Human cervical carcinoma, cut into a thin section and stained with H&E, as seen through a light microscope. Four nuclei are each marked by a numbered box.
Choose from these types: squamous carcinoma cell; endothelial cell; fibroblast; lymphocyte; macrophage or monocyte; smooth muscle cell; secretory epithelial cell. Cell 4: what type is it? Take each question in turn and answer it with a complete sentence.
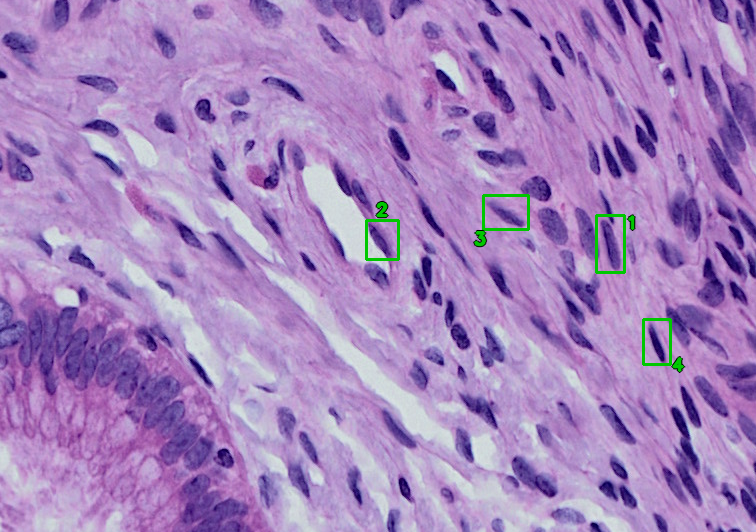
Here, the cell given the number 4 is a fibroblast.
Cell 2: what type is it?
Here the cell numbered 2 is an endothelial cell.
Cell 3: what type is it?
Nucleus 3 in this section belongs to a fibroblast.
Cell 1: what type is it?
In the tissue shown, cell 1 is a fibroblast.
